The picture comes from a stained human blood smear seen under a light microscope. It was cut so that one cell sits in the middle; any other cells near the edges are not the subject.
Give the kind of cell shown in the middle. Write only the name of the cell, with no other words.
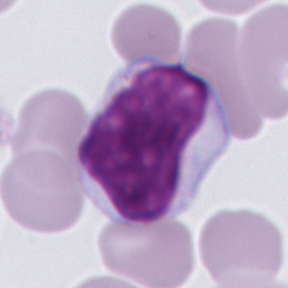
large granular lymphocyte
